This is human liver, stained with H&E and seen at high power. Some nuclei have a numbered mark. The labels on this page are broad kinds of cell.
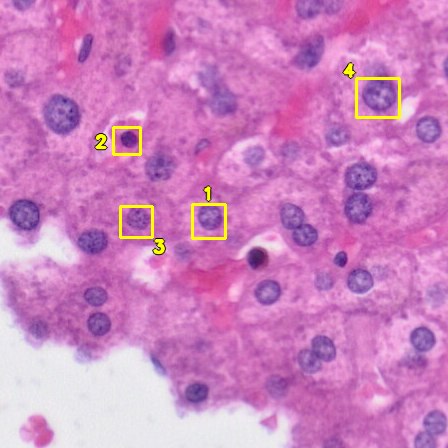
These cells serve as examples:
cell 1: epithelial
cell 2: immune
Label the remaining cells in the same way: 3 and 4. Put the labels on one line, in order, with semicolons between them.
epithelial; epithelial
